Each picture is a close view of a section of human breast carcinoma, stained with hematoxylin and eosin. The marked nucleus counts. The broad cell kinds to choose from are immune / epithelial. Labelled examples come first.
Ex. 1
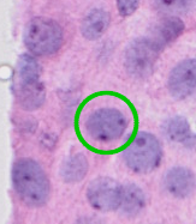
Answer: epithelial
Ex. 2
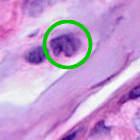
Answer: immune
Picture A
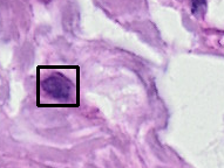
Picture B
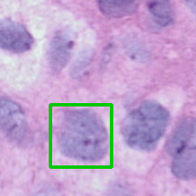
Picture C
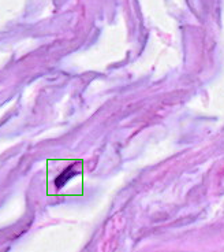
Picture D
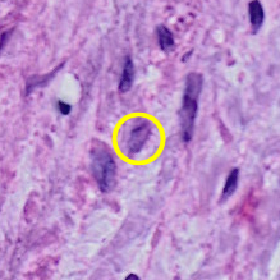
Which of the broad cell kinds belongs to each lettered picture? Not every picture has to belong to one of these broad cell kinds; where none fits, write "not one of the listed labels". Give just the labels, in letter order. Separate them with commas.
immune, epithelial, not one of the listed labels, immune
